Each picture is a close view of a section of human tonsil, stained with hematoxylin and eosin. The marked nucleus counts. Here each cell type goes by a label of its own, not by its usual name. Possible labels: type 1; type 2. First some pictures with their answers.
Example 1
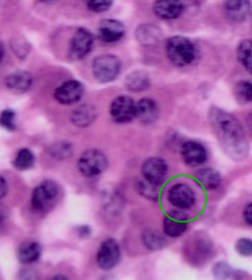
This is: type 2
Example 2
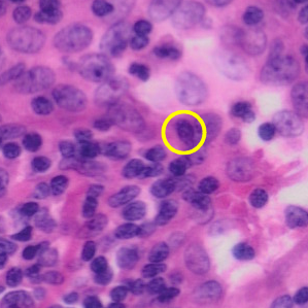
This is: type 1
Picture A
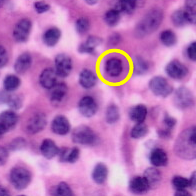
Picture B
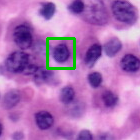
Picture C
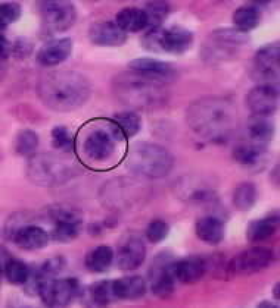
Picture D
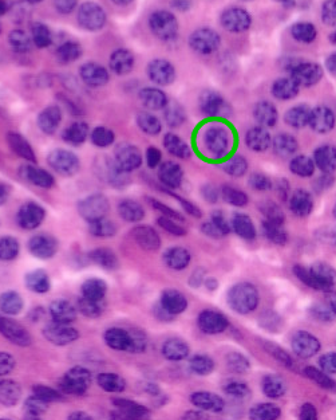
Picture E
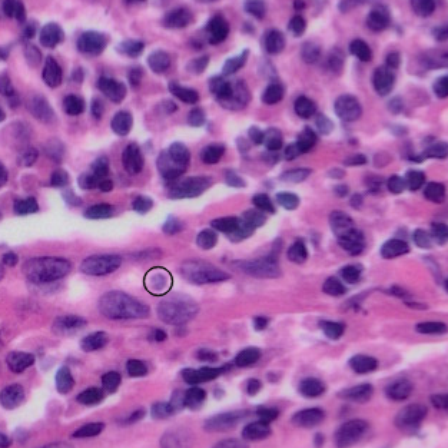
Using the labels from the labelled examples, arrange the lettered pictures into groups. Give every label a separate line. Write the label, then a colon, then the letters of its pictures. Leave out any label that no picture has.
type 1: C, E
type 2: A, B, D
